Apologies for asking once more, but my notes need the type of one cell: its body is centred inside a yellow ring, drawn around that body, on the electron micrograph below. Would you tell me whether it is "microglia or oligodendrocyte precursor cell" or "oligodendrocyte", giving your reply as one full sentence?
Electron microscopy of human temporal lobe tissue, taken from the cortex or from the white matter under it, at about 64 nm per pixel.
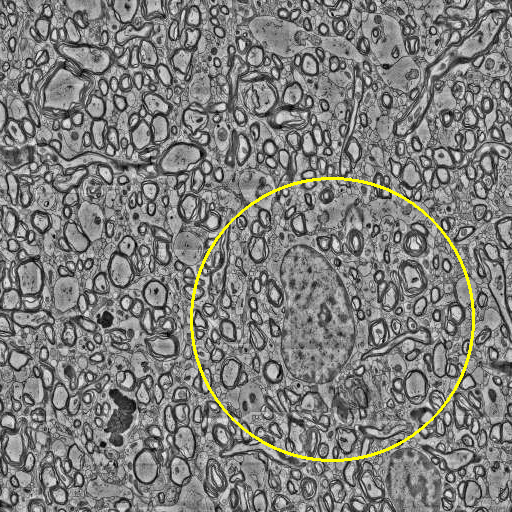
The cell that the yellow ring is centred on is a microglial cell or oligodendrocyte precursor cell in this micrograph.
